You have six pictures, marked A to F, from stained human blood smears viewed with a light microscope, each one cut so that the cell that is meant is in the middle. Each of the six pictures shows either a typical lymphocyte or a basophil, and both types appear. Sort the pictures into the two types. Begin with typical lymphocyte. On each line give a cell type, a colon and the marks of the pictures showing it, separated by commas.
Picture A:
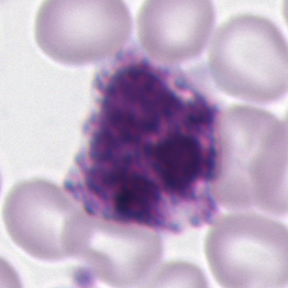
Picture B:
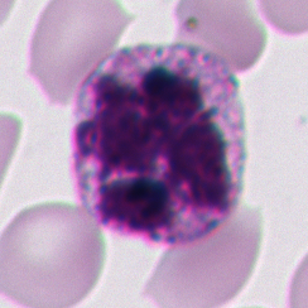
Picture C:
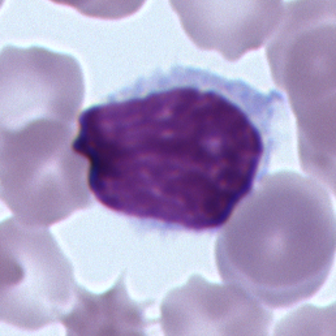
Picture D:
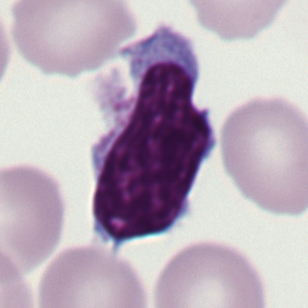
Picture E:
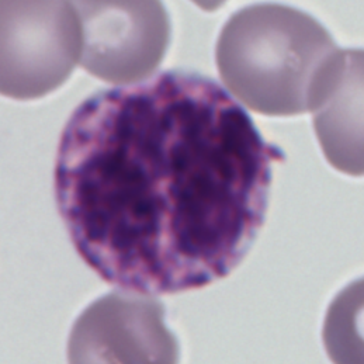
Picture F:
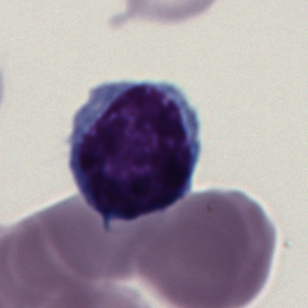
typical lymphocyte: C, D, F
basophil: A, B, E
